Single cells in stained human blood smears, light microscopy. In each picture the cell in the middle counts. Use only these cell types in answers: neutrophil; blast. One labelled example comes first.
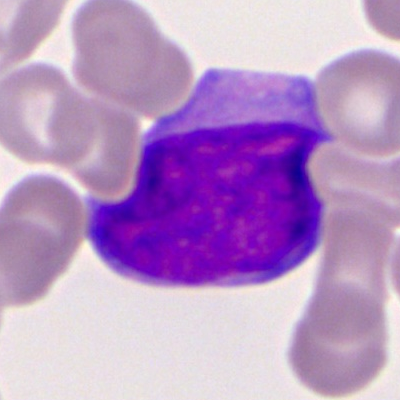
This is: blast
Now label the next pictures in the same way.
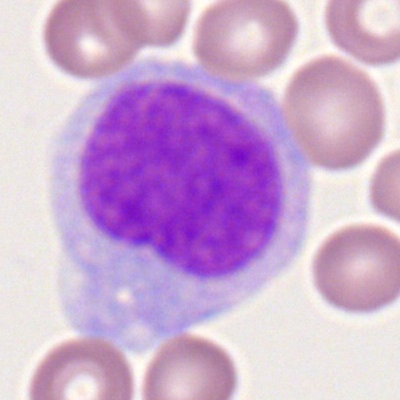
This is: blast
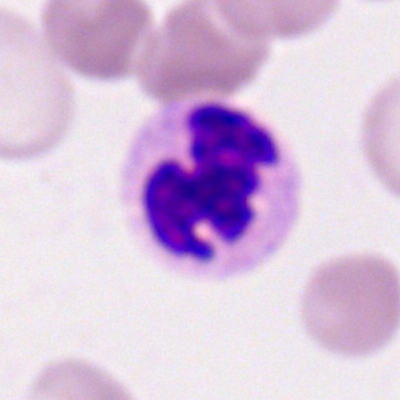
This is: neutrophil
